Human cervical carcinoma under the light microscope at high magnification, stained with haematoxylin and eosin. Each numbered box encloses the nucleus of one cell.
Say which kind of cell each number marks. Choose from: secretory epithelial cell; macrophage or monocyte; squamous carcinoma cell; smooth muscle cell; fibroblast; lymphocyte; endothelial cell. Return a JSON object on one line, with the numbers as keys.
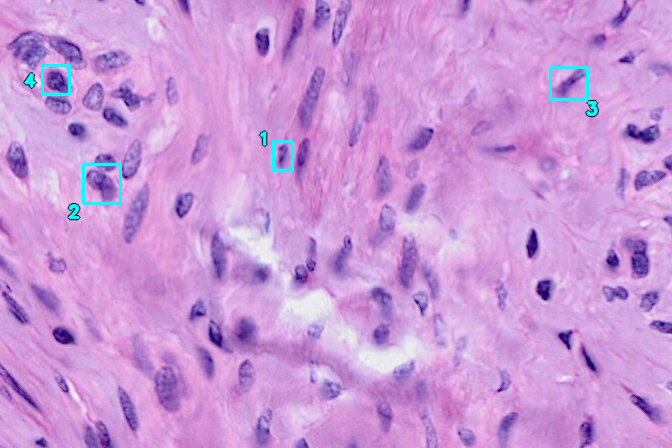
{"1": "fibroblast", "2": "fibroblast", "3": "fibroblast", "4": "endothelial cell"}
